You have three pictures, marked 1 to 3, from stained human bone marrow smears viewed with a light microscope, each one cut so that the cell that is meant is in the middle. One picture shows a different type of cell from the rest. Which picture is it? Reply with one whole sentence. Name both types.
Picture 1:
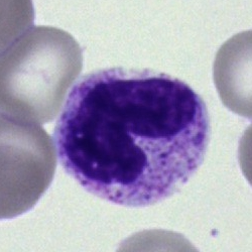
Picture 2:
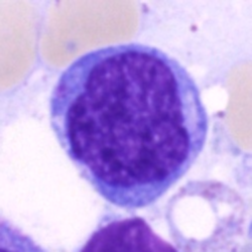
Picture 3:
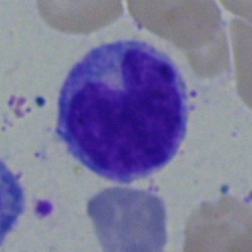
Picture 1 differs, because its cell is a band neutrophil and the rest are monocytes.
